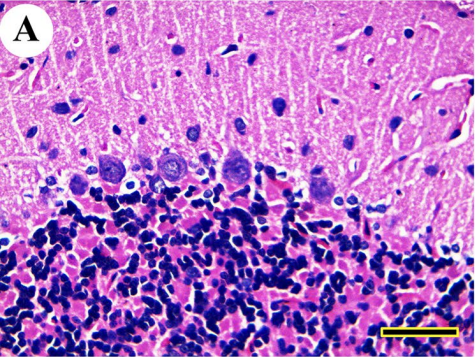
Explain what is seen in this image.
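Cerebellar cortex with its three layers. Above lies the molecular layer, pale pink and finely fibrillar, with scattered small dark nuclei of its sparse neurons and glia. In the middle runs a single row of large Purkinje cells with plump purple cytoplasm, round pale nuclei and distinct nucleoli. Below lies the granular layer, crowded with small, round, deeply blue-purple nuclei of granule cells, interrupted by pink islands of neuropil. The boundaries between the layers are sharp and the cells look regular in size and shape.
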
